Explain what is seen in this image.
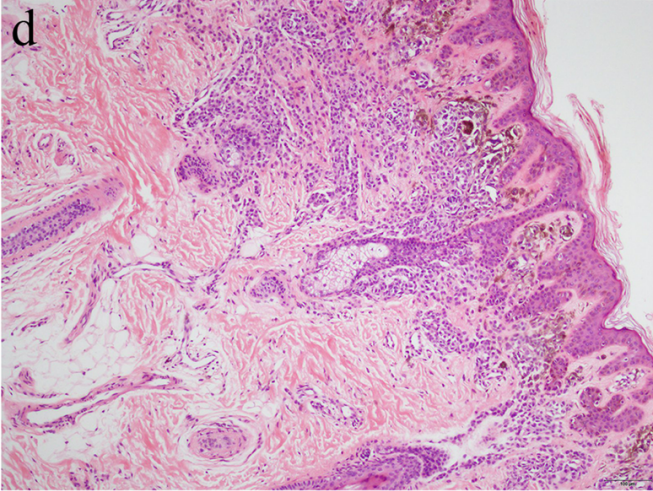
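This is a section of skin with the epidermis along the right edge and pink collagenous dermis to the left, in which melanocytes carrying coarse brown pigment sit along the base of the epidermis and spill into the upper dermis. Below the epidermis, small cells with round dark nuclei gather in clusters and cords among the collagen bundles, and fat cells appear at the lower left.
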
